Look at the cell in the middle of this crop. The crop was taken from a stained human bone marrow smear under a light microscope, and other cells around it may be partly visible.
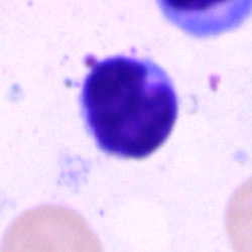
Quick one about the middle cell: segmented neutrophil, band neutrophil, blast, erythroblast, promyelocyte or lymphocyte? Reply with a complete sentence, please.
Where the crop is centred, there is a lymphocyte.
